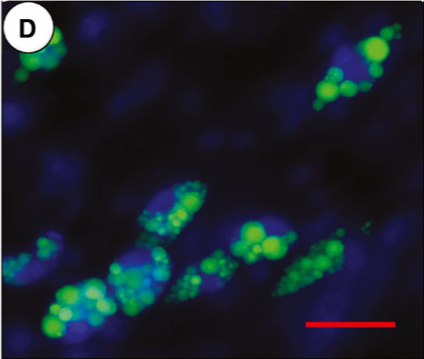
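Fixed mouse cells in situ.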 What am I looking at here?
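These are adipocytes whose many round cytoplasmic droplets glow bright green, ranging from tiny specks to large spheres within single cells. The green droplet-filled cells lie in small groups against a dim blue background of neighbouring cells.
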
